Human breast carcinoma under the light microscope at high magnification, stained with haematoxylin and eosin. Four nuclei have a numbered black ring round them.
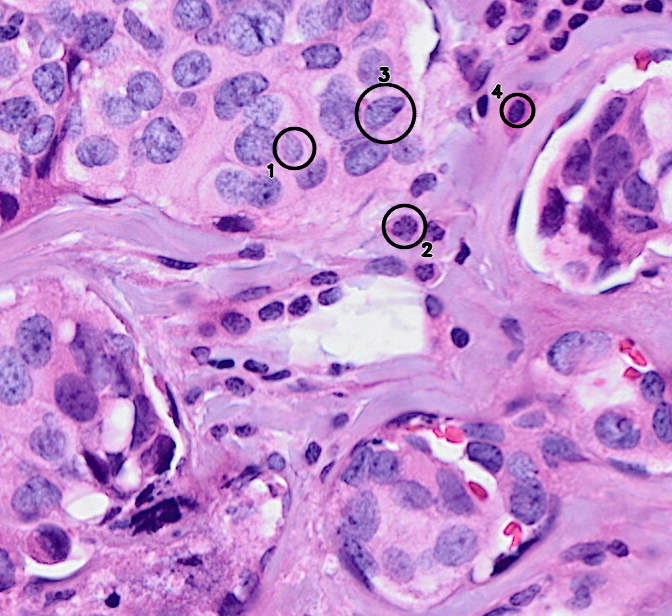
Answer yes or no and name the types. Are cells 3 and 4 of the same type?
No, cell 3 is a carcinoma cell and cell 4 is a mast cell.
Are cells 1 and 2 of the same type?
No, cell 1 is a carcinoma cell and cell 2 is a macrophage, monocyte or dendritic cell.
